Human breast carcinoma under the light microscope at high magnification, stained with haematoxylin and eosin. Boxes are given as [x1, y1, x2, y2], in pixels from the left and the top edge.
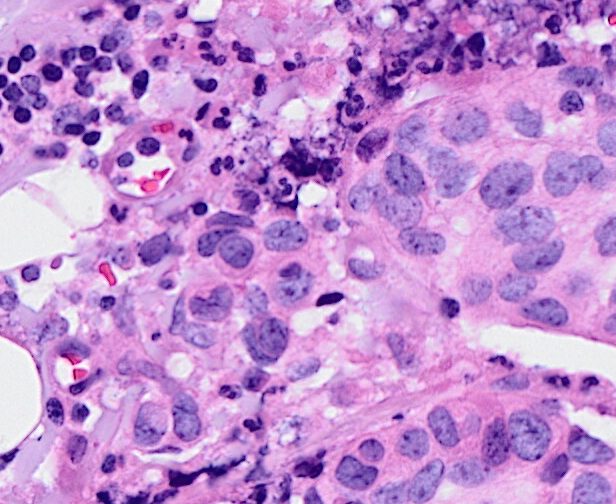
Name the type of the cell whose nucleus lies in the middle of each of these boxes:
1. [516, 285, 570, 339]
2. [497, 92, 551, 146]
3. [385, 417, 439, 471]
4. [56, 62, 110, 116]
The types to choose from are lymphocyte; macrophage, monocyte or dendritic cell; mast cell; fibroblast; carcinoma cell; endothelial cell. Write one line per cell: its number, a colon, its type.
1: carcinoma cell
2: carcinoma cell
3: carcinoma cell
4: lymphocyte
